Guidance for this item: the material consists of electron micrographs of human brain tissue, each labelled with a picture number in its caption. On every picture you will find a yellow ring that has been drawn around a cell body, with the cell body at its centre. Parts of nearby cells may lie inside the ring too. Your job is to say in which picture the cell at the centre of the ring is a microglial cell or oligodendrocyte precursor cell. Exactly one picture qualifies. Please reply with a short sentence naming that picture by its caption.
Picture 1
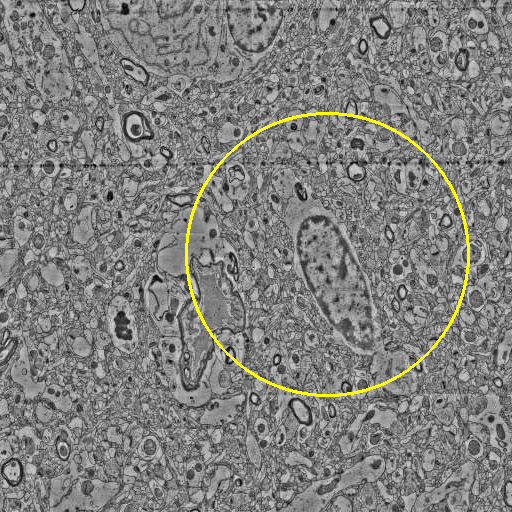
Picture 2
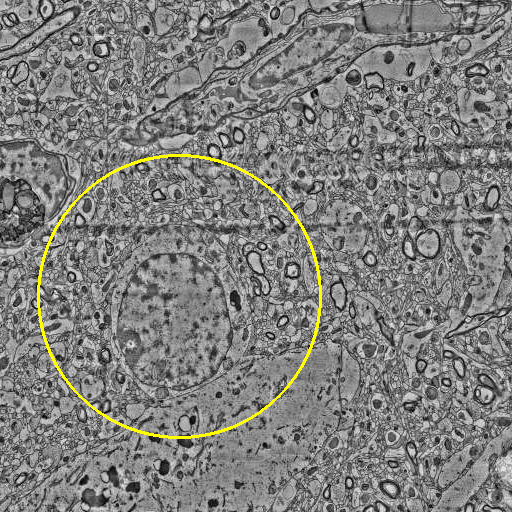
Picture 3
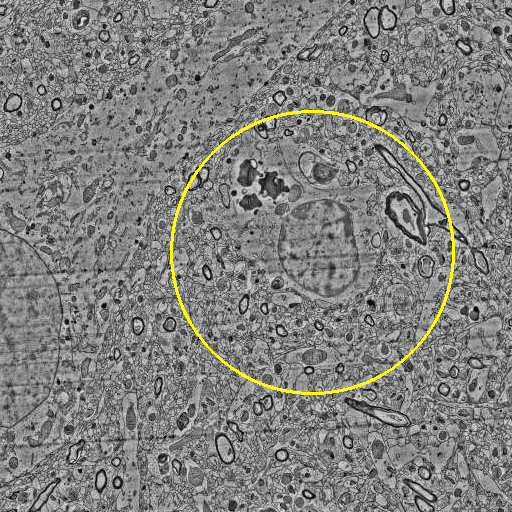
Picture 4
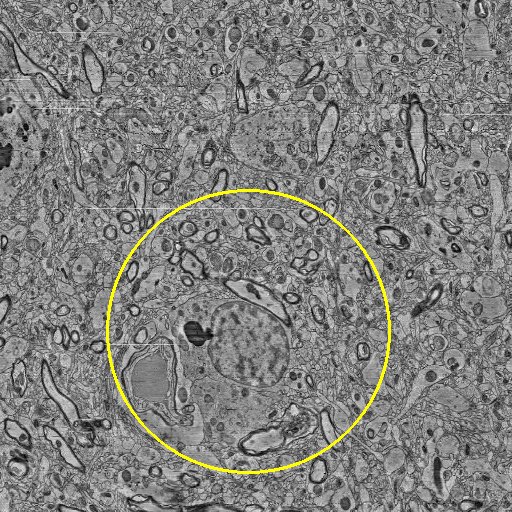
Picture 1 shows it at the centre of the ring.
